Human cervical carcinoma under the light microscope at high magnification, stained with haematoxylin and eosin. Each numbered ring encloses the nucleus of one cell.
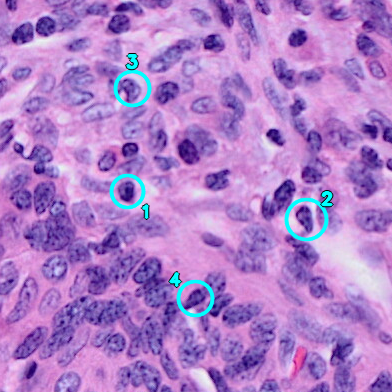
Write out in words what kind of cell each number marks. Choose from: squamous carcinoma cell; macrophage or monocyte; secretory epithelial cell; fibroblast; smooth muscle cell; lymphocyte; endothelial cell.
Cell 1 is a lymphocyte, cell 2 is a lymphocyte, cell 3 is a lymphocyte and cell 4 is a squamous carcinoma cell.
